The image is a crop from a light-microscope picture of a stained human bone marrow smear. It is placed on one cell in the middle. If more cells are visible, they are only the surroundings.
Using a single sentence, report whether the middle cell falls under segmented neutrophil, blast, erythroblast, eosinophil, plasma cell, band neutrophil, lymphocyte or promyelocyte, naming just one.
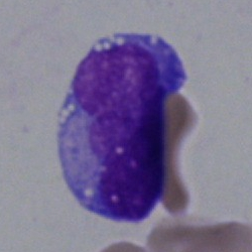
Among the cells in view, the one in the middle is a blast.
